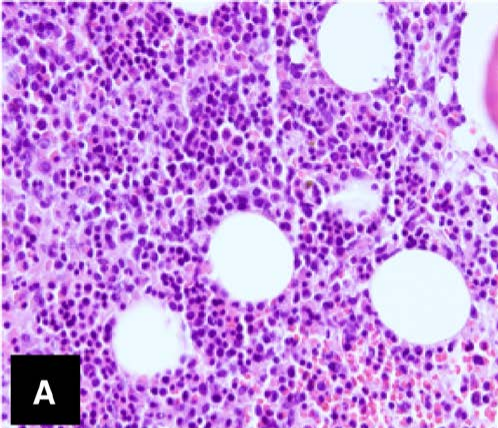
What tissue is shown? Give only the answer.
bone marrow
